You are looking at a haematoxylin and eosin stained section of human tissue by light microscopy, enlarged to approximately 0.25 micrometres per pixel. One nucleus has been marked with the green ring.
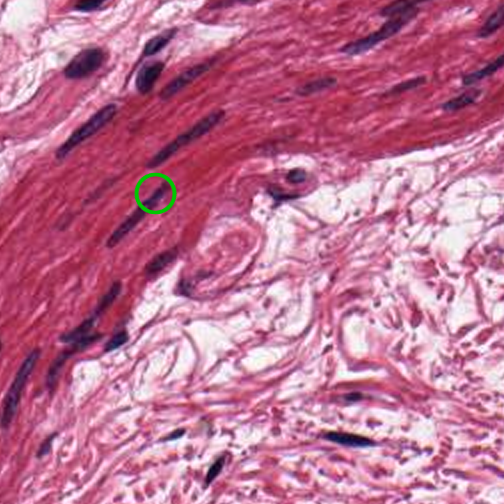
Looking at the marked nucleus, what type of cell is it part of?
smooth muscle cell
